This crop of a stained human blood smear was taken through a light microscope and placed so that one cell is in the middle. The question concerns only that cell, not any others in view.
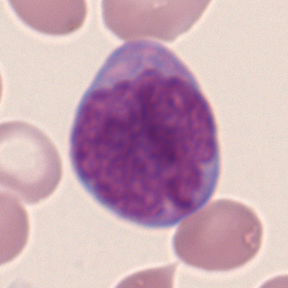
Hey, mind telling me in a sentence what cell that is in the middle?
For this crop, the cell in the middle is an atypical promyelocyte.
